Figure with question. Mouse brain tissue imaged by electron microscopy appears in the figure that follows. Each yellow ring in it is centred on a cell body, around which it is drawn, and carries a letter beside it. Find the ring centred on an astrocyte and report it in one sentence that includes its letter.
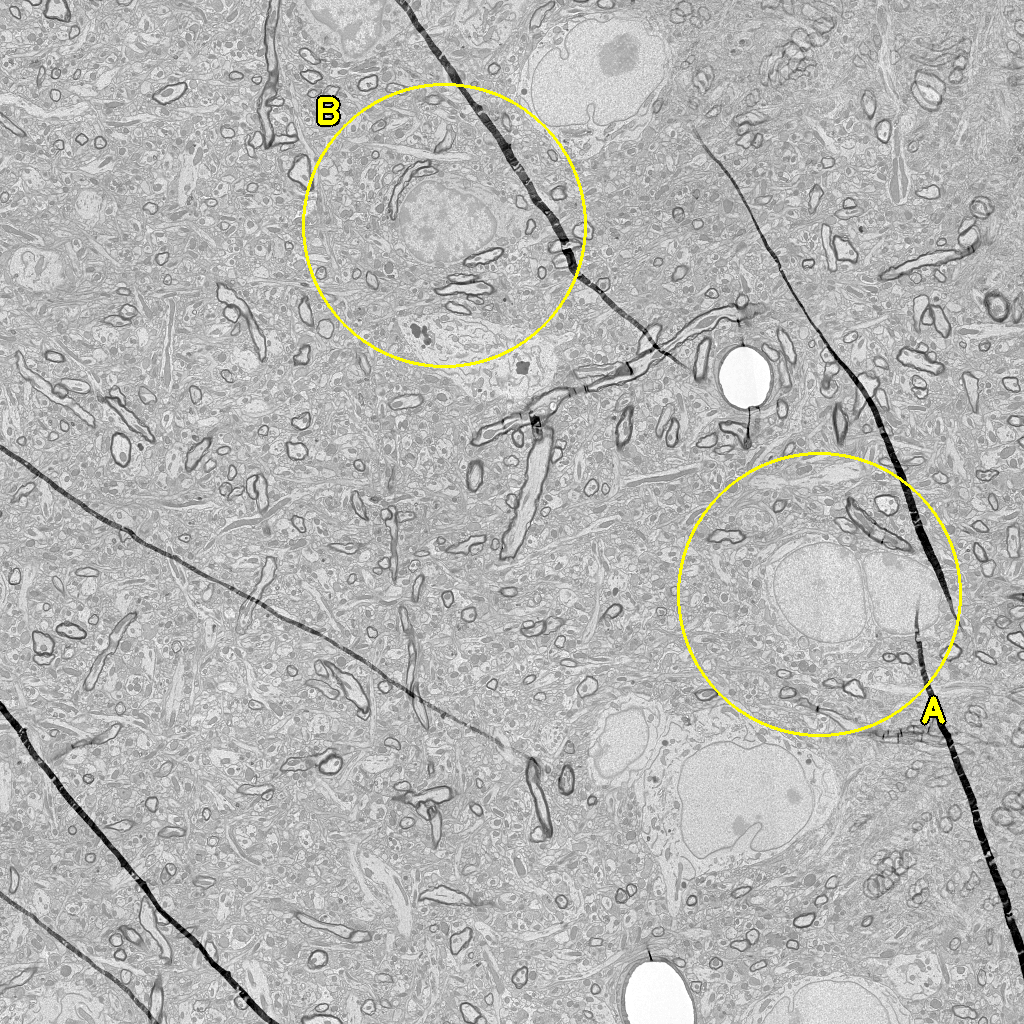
Ring A is the one centred on it.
